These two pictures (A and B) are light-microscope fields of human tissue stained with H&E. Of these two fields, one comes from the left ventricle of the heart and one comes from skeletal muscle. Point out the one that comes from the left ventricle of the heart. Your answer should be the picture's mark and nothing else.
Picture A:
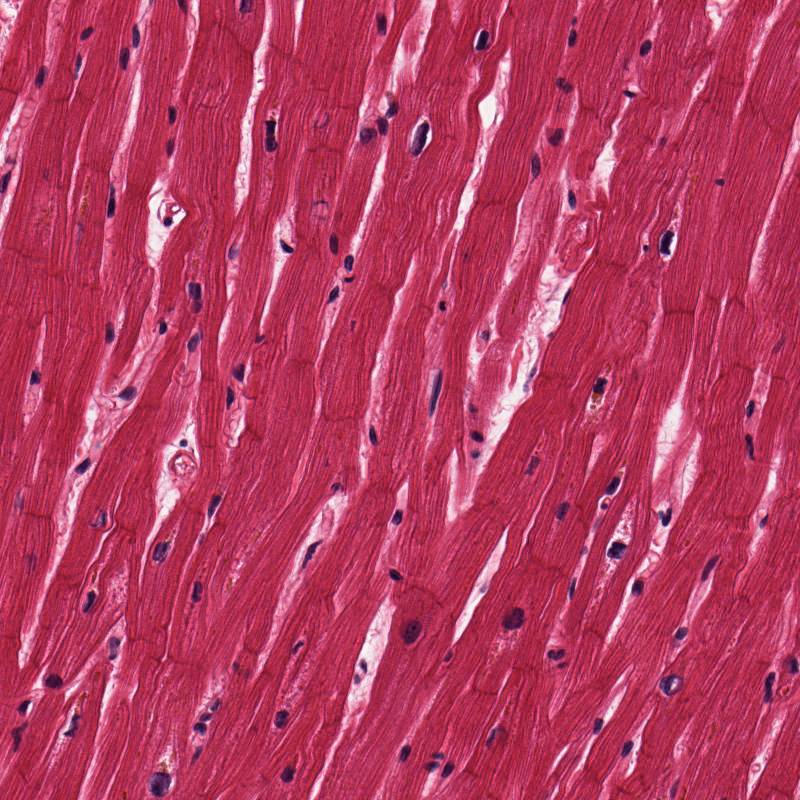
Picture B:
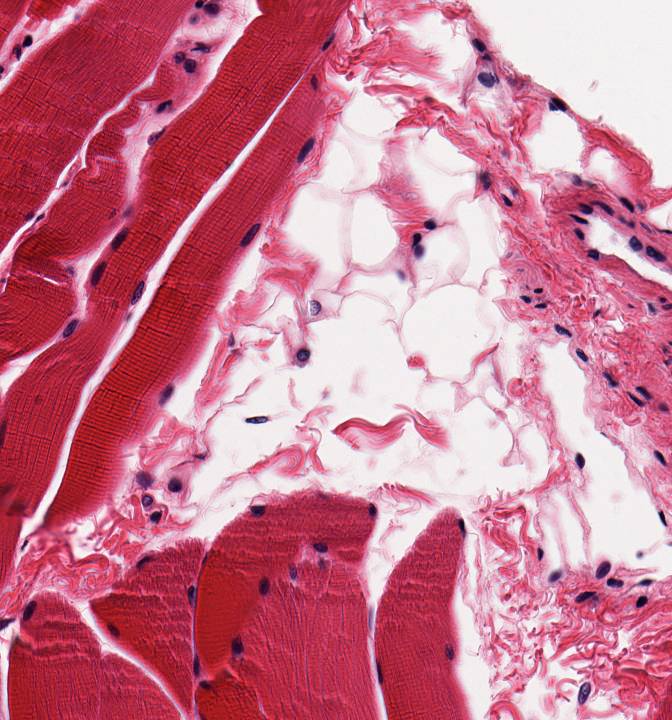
A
